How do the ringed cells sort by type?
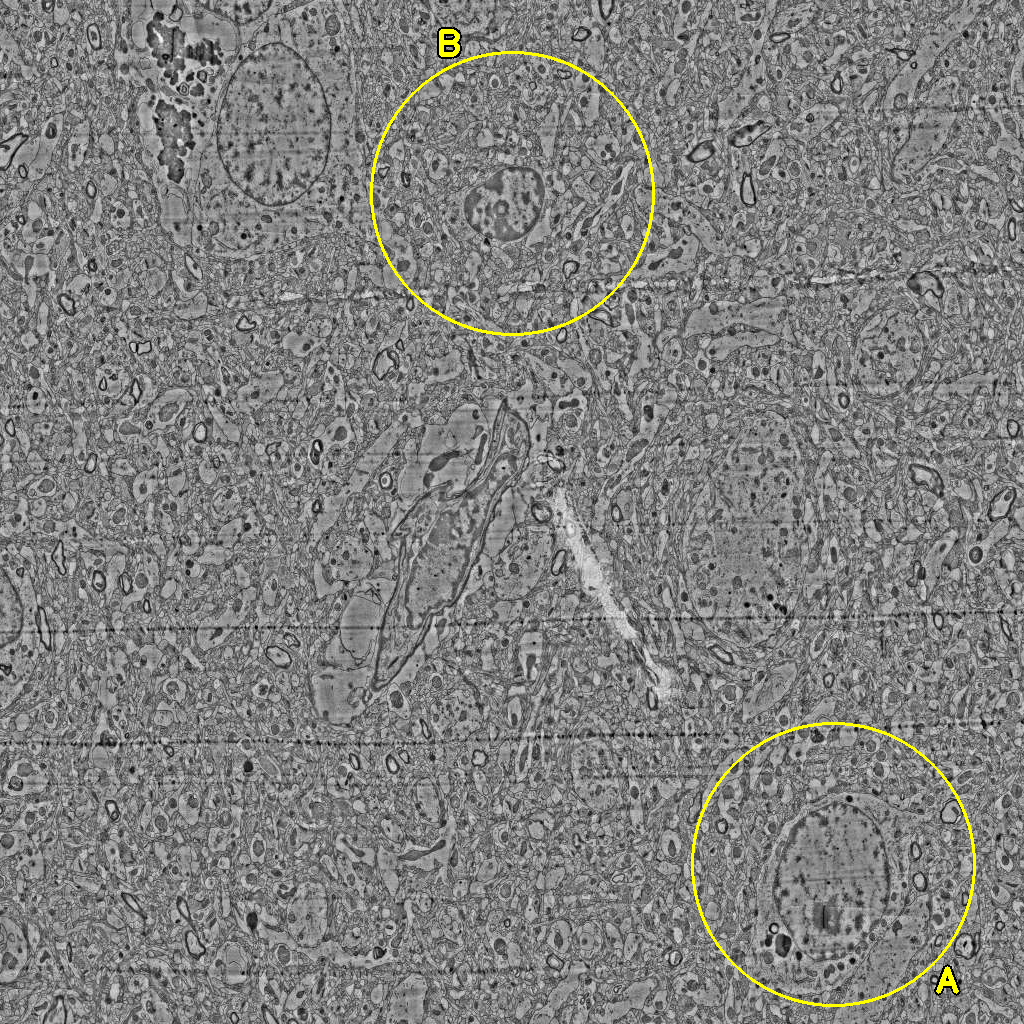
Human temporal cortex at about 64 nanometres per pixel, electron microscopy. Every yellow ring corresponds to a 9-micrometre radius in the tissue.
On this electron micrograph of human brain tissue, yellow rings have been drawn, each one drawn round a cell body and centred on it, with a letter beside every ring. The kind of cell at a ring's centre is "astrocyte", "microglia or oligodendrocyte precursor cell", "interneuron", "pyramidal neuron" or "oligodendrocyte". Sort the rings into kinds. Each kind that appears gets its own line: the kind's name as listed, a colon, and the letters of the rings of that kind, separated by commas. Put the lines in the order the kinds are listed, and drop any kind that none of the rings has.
microglia or oligodendrocyte precursor cell: B
interneuron: A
